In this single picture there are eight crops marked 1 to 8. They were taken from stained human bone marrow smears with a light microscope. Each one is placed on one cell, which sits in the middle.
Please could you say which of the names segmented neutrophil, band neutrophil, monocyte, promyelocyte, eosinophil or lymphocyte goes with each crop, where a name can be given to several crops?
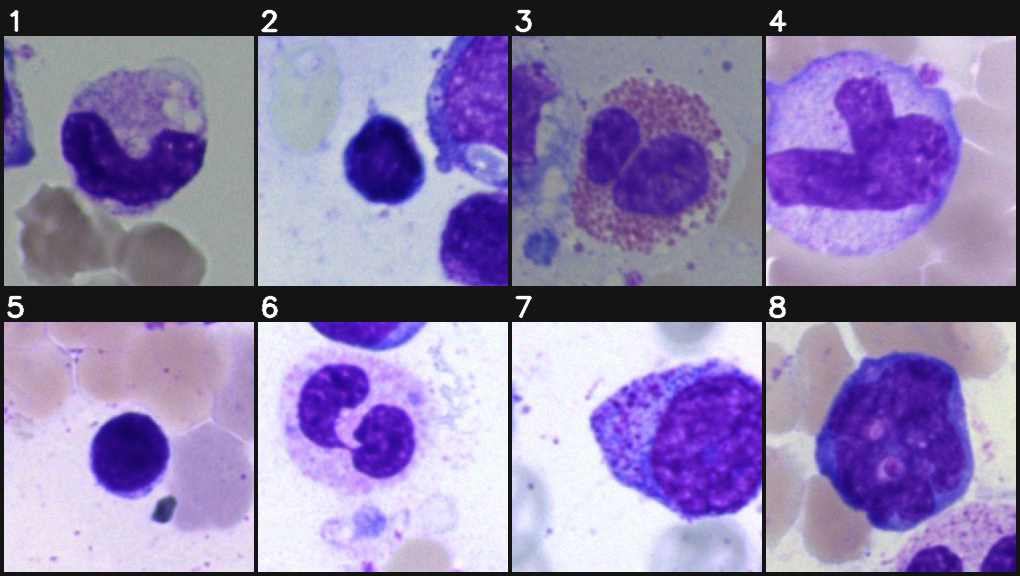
1: band neutrophil
2: lymphocyte
3: eosinophil
4: monocyte
5: lymphocyte
6: segmented neutrophil
7: promyelocyte
8: monocyte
